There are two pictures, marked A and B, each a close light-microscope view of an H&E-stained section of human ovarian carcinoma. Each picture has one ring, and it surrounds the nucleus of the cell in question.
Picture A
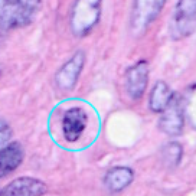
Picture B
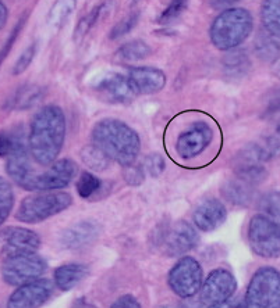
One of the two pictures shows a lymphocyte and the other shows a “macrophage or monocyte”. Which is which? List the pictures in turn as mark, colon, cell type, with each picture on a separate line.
A: lymphocyte
B: macrophage or monocyte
